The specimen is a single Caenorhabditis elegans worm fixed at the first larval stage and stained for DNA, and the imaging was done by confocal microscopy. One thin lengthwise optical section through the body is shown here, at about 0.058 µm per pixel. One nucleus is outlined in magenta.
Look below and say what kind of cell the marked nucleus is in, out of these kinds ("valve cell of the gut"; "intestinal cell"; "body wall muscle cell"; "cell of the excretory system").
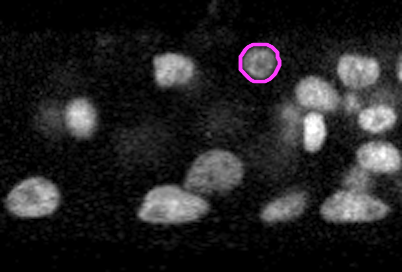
body wall muscle cell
